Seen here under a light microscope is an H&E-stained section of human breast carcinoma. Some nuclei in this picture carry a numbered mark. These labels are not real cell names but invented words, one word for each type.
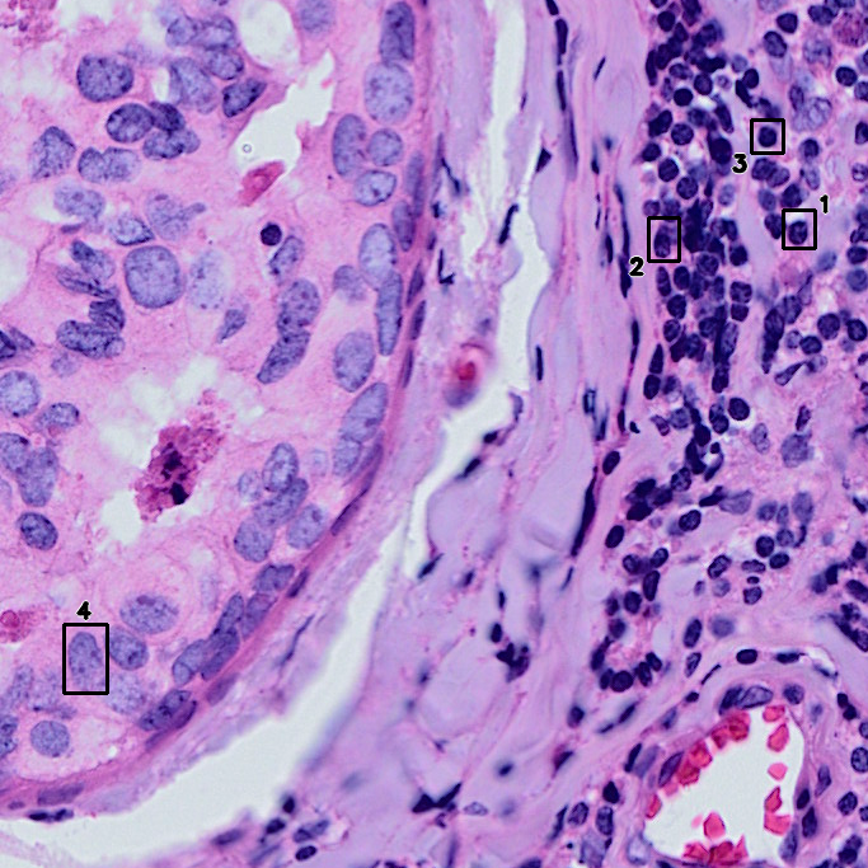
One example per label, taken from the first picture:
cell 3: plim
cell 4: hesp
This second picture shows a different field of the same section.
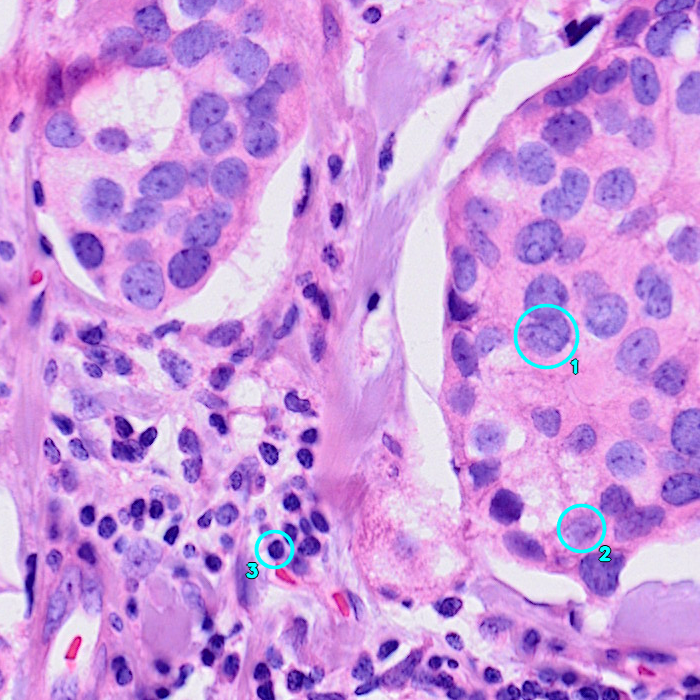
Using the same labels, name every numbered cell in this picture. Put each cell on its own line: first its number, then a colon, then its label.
1: hesp
2: hesp
3: plim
